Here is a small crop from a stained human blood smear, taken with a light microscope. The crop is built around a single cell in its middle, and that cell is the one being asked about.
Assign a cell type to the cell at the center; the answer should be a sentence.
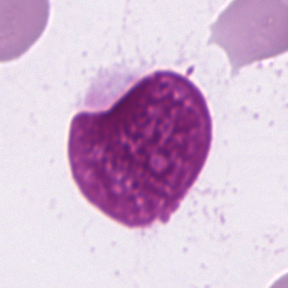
The cell of interest, located centrally, is a smudge cell.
